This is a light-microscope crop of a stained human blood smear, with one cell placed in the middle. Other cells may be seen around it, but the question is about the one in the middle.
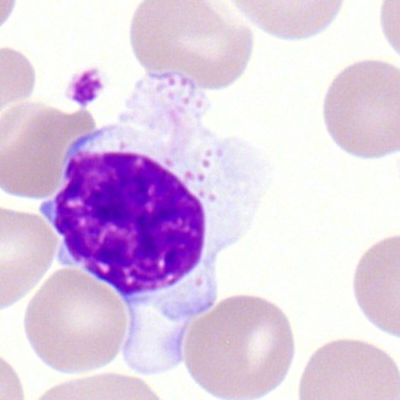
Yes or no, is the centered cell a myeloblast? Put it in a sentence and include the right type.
No, the cell at the centre is categorised not as a myeloblast but as a lymphocyte.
